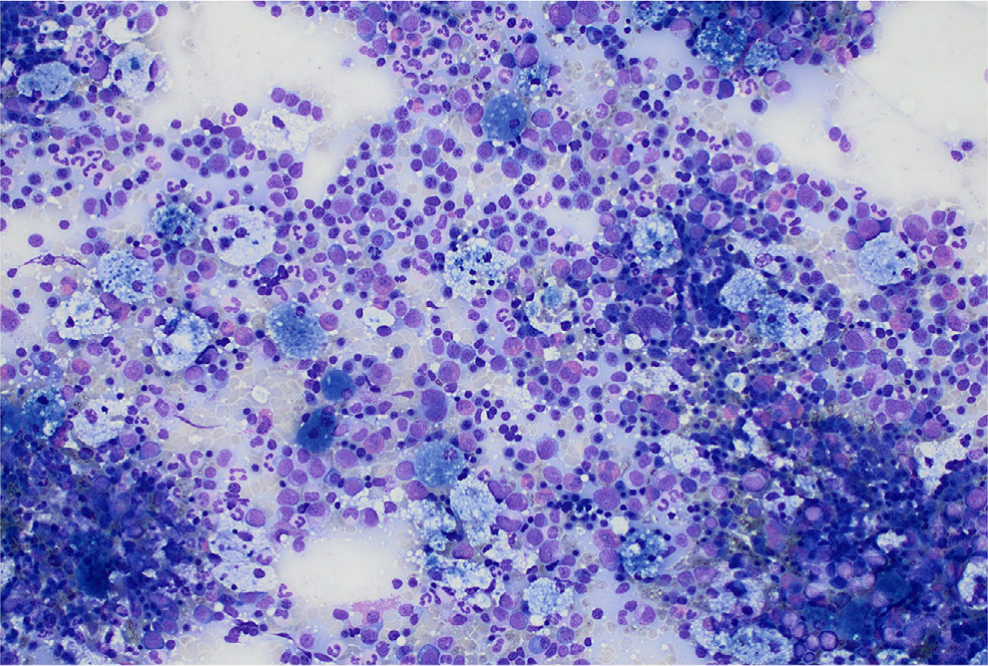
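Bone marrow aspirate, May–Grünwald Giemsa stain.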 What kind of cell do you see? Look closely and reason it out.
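Many large cells scattered across the smear, far bigger than the surrounding marrow cells. Their cytoplasm is pale blue and bubbly, filled with many small clear vacuoles. Each has a small nucleus set within the abundant vacuolated cytoplasm. The answer: foamy macrophages.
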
